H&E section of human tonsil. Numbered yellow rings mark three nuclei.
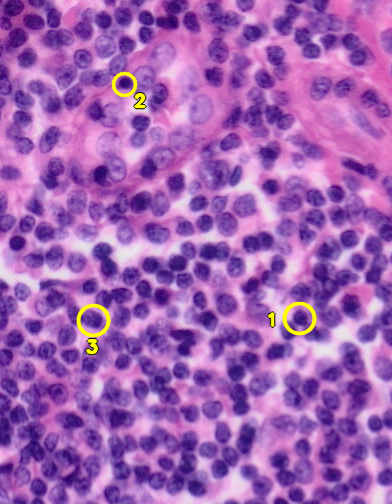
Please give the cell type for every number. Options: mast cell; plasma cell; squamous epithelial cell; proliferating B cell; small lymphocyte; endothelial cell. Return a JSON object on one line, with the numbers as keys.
{"1": "small lymphocyte", "2": "endothelial cell", "3": "small lymphocyte"}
